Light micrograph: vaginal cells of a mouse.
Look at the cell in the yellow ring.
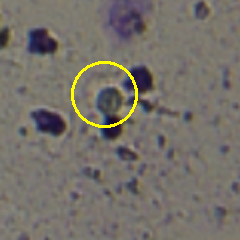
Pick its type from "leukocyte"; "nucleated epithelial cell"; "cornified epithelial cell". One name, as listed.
leukocyte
